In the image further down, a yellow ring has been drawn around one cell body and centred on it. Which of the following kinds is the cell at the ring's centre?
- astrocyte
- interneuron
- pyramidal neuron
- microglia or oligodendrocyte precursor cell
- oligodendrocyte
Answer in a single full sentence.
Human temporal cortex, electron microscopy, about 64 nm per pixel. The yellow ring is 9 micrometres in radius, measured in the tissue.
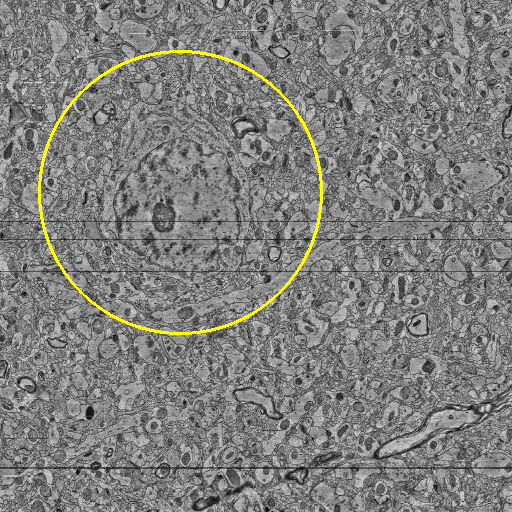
In the picture, the cell sitting at the centre of the yellow ring is an interneuron.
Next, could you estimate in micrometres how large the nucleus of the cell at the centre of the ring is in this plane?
In this plane, roughly 9 micrometres across.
